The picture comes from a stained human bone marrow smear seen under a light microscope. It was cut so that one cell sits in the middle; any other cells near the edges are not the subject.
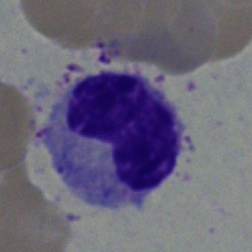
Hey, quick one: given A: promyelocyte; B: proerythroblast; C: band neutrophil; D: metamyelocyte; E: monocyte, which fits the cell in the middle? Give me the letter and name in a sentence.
In this crop the middle cell is a metamyelocyte, so option D is the correct answer.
